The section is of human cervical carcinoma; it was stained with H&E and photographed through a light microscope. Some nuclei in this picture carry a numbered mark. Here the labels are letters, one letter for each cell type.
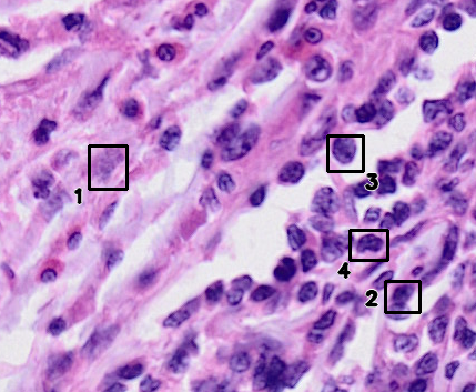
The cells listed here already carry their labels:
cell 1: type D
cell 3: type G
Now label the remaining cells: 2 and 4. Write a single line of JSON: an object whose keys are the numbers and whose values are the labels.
{"2": "type G", "4": "type G"}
